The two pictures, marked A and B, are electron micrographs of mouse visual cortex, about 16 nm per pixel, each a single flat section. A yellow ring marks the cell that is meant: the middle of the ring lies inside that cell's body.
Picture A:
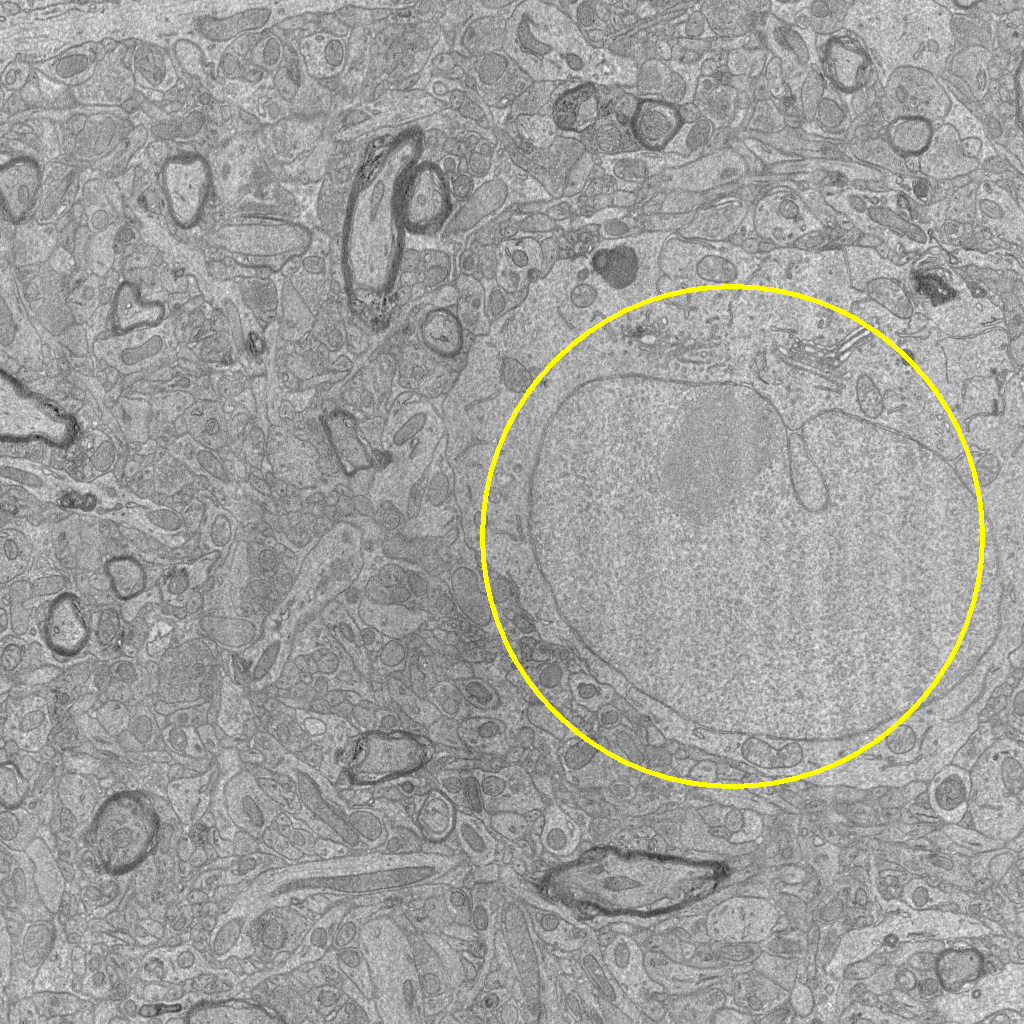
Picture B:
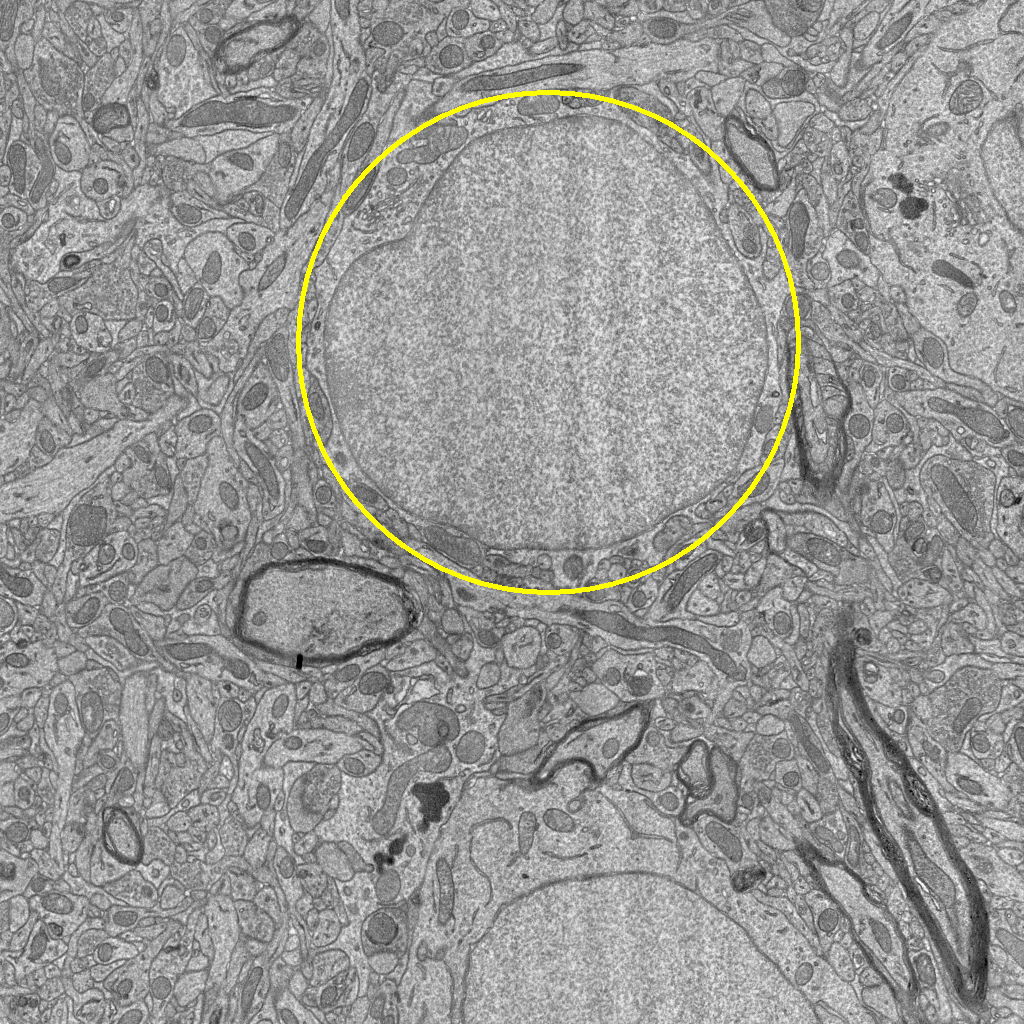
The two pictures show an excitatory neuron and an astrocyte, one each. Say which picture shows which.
Picture A is of an excitatory neuron, and picture B is of an astrocyte.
